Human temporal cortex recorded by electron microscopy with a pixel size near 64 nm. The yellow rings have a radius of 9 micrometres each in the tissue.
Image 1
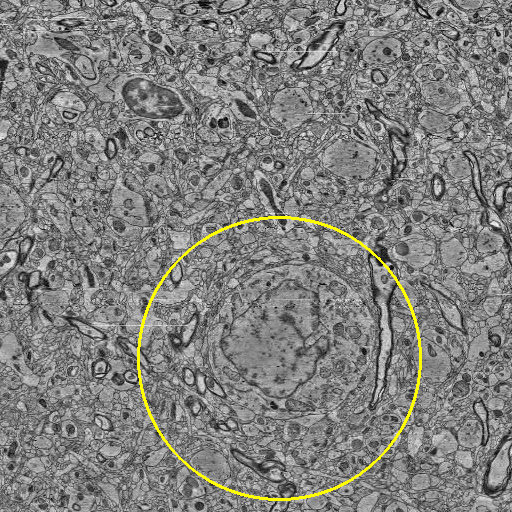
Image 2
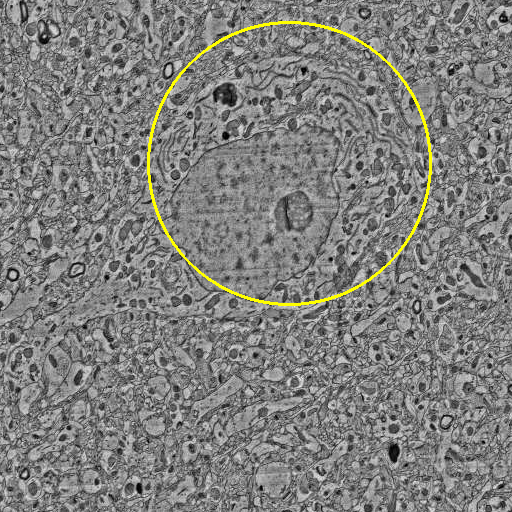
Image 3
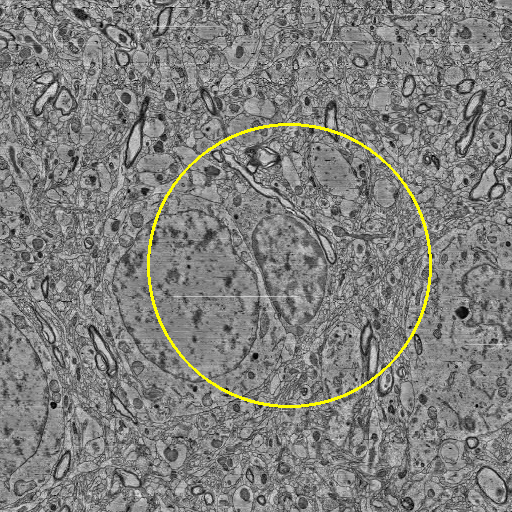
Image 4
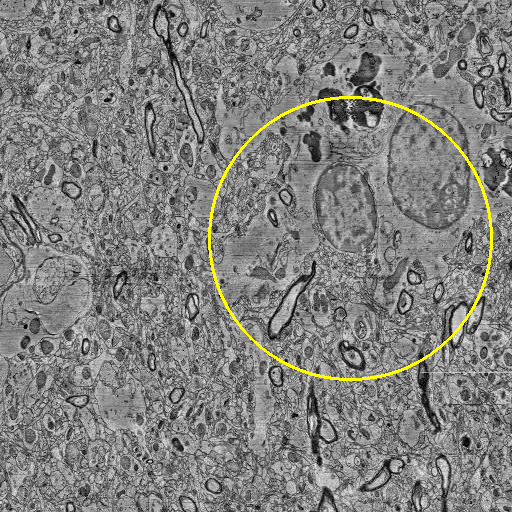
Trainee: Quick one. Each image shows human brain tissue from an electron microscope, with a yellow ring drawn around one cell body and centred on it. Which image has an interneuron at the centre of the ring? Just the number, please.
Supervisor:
2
